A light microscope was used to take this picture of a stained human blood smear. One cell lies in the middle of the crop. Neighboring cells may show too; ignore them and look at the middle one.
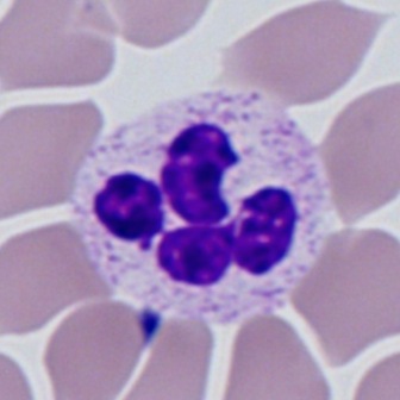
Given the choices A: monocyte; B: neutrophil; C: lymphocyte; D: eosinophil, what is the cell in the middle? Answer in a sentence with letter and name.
Option B is right, the centrally situated cell being a neutrophil.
